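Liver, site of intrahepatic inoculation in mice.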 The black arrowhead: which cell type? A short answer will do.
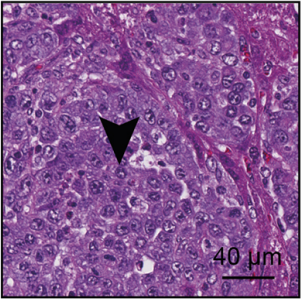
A: Tumor cells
